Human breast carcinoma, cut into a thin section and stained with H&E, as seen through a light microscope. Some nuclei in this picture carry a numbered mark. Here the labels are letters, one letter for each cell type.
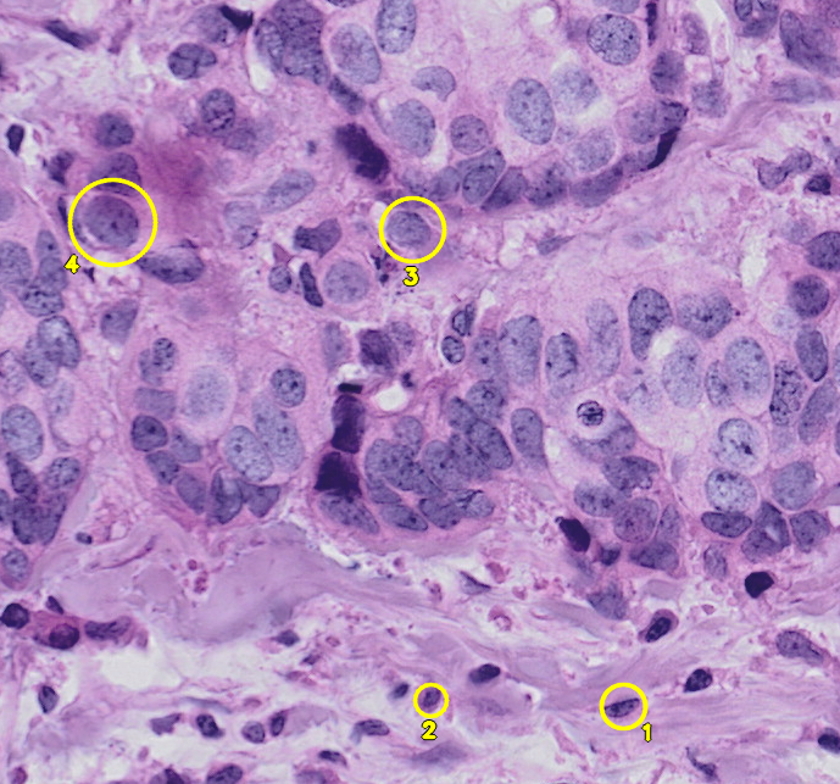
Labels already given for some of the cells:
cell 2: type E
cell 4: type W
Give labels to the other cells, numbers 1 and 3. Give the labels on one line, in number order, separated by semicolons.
type E; type W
